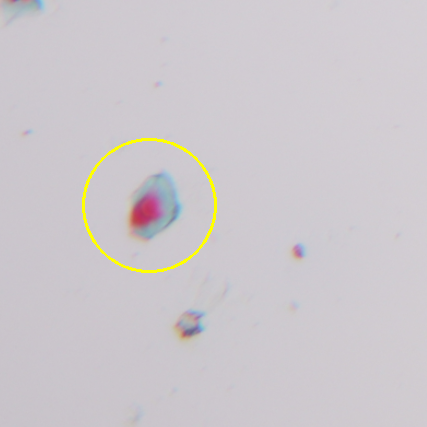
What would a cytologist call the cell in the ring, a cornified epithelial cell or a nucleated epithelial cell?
A cytologist would call it a nucleated epithelial cell.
